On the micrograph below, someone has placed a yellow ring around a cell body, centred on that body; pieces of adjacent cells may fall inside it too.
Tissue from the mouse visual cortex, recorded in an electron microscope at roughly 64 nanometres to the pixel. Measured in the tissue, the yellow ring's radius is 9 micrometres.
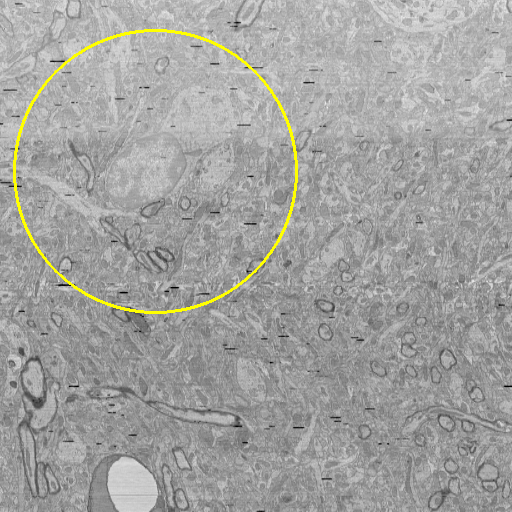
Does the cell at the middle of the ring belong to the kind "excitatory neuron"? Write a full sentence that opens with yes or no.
No, the micrograph shows another kind of cell at the ring's centre.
